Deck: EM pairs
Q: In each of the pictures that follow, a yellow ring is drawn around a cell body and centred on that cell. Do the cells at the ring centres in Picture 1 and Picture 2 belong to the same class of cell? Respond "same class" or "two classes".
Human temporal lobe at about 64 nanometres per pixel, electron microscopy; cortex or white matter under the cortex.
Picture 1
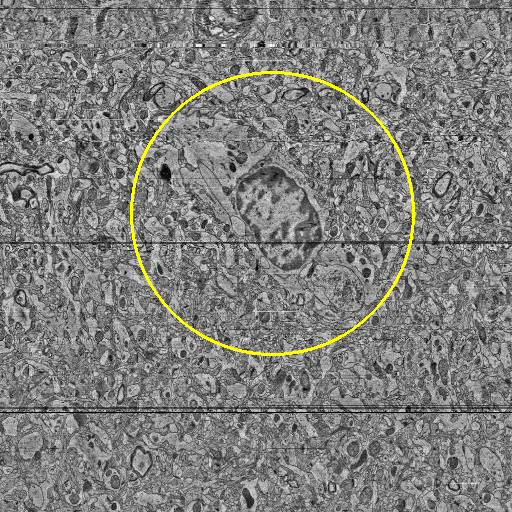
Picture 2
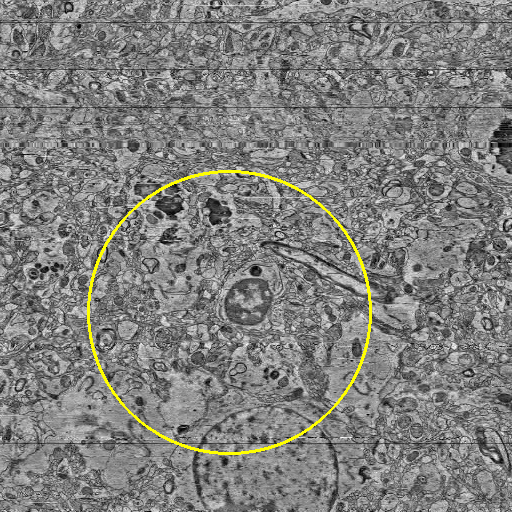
same class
